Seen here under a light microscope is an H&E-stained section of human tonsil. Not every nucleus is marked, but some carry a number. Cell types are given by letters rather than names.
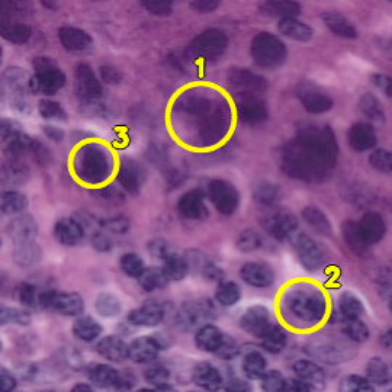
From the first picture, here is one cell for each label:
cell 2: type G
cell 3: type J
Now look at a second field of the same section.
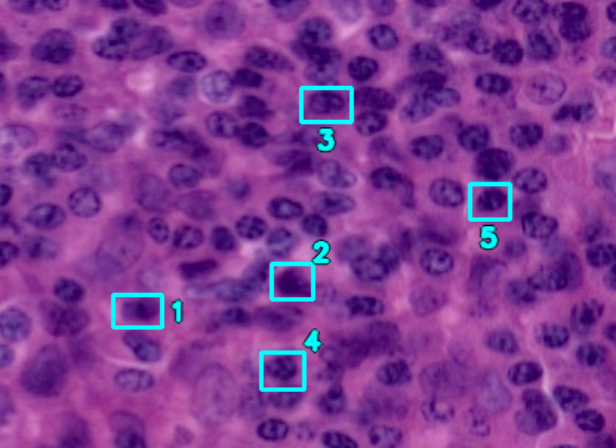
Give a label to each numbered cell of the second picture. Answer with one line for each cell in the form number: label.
1: type J
2: type J
3: type G
4: type G
5: type G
